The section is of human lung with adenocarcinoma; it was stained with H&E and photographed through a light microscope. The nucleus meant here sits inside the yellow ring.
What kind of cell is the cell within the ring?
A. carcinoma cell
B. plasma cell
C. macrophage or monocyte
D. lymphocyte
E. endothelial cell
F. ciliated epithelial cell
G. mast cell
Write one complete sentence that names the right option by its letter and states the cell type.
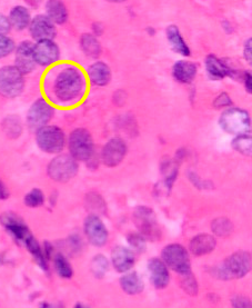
Option F stands as correct, with the cell within the ring being a ciliated epithelial cell.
